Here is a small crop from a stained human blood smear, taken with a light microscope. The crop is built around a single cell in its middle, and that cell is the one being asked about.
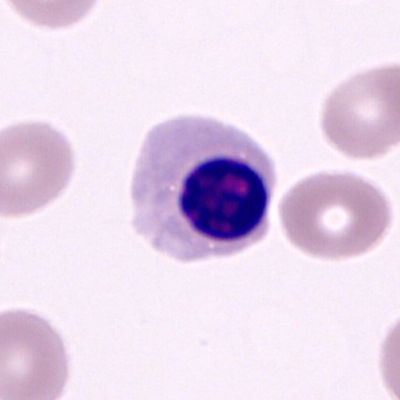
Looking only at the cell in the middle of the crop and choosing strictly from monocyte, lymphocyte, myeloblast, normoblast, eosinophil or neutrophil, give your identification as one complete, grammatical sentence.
Among the cells in view, the one in the middle is a normoblast.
